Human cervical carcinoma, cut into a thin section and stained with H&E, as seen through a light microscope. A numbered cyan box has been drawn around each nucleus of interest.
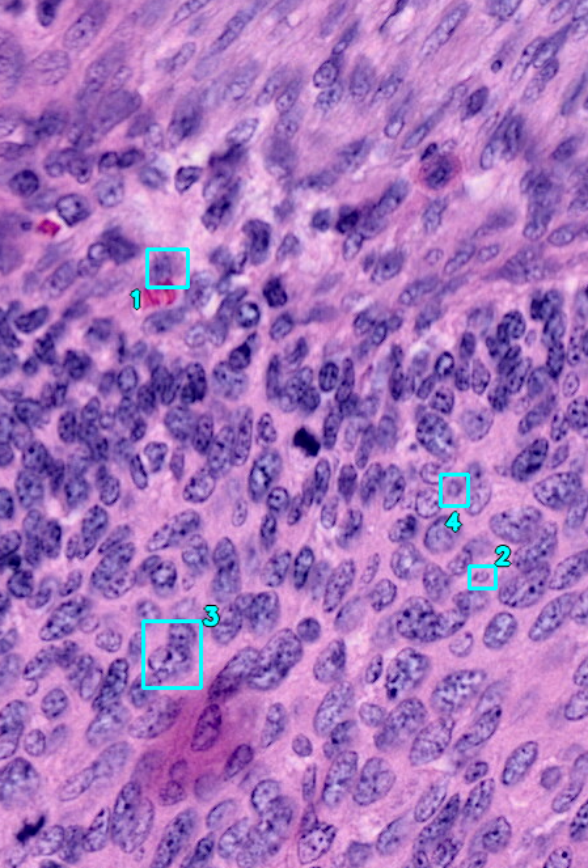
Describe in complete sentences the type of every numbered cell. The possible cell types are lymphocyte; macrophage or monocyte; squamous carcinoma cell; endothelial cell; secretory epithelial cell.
Cell 1 is an endothelial cell. Cells 2, 3 and 4 are squamous carcinoma cells.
